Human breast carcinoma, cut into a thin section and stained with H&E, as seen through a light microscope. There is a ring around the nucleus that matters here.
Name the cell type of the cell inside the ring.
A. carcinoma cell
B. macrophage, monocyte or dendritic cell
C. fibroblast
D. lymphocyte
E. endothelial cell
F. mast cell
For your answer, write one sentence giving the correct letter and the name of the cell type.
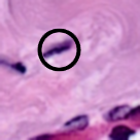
The statement that the cell inside the ring is a fibroblast corresponds to option C, the correct one.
